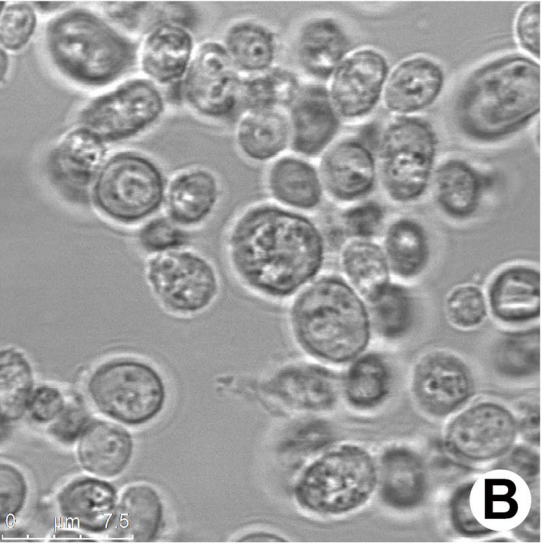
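These are budding yeast cells seen by phase contrast, crowded into loose clumps with some lying singly. The cells are round to slightly oval and vary in size, each bounded by a distinct bright-and-dark cell wall outline. Neighbouring cells press against one another in the clusters, and open grey background separates the groups.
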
